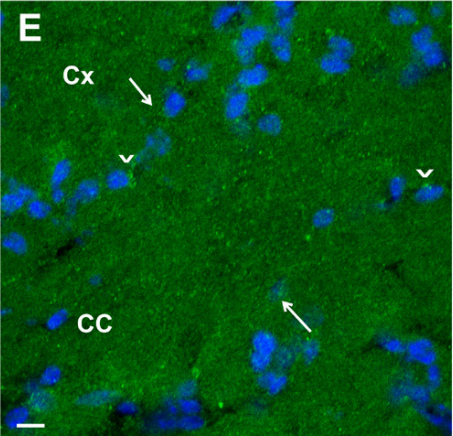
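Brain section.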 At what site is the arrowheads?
Perinuclear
